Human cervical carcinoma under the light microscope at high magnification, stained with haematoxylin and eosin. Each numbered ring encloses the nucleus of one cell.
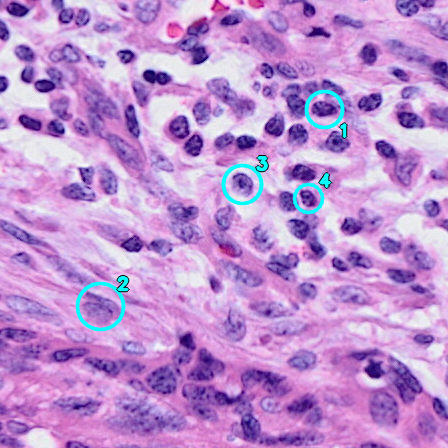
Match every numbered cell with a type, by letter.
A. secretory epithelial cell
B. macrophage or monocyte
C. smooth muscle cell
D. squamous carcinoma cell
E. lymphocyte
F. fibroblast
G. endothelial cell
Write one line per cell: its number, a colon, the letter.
1: E
2: F
3: E
4: E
